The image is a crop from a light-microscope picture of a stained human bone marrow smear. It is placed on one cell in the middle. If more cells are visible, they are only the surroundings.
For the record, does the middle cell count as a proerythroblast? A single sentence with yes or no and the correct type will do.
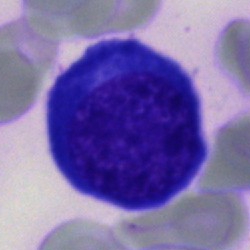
Yes, the cell in the middle of this smear crop is a proerythroblast.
